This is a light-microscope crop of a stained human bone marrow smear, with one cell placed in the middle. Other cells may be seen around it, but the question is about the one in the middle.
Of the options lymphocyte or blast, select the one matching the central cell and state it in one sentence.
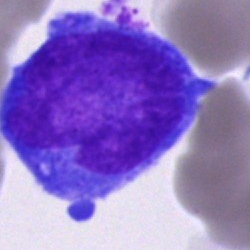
At the middle of the frame sits a blast.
